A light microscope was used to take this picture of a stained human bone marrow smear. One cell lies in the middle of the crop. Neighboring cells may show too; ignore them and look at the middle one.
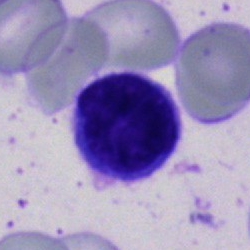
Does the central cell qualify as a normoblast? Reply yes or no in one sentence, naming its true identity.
No, the cell in the middle is a lymphocyte, not a normoblast.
